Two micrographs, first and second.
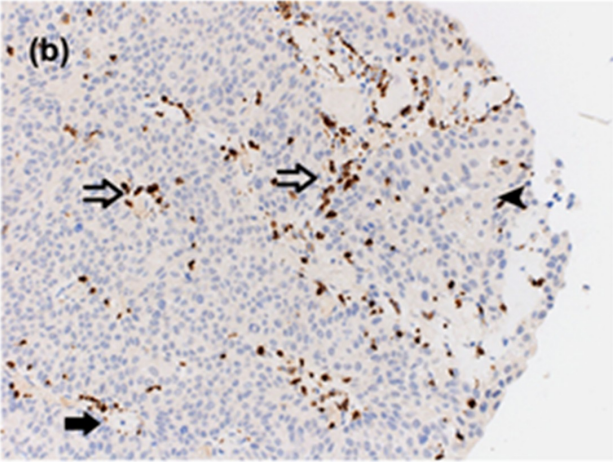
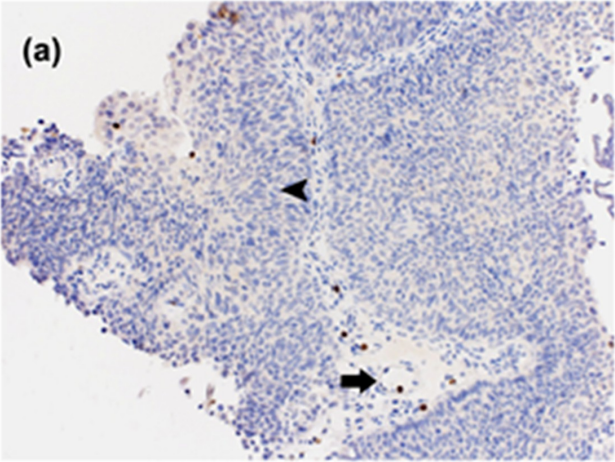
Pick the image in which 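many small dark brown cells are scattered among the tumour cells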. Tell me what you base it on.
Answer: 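First image: numerous small dark brown cells lie between the tumour cells and along stromal strands. Second image: the tumour sheets are almost wholly blue, with only a few brown cells near a vascular space.
Conclusion: the first image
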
